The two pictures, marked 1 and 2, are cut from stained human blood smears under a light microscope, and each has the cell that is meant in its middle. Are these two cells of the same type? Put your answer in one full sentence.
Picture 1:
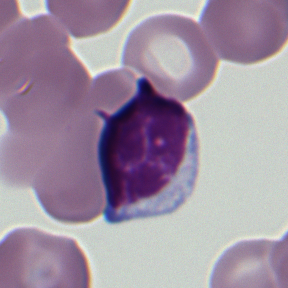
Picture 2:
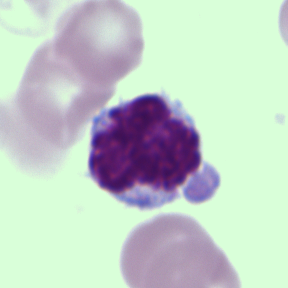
Yes; the cells in both pictures are typical lymphocytes.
